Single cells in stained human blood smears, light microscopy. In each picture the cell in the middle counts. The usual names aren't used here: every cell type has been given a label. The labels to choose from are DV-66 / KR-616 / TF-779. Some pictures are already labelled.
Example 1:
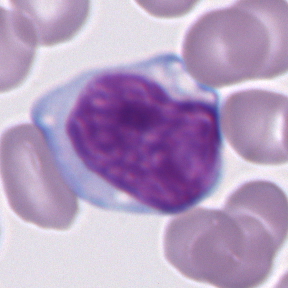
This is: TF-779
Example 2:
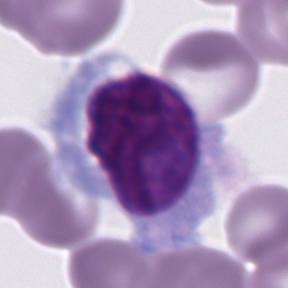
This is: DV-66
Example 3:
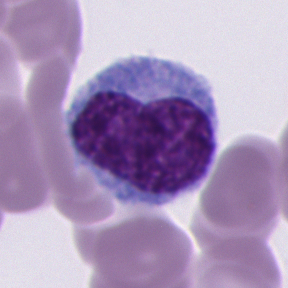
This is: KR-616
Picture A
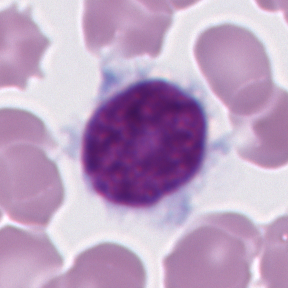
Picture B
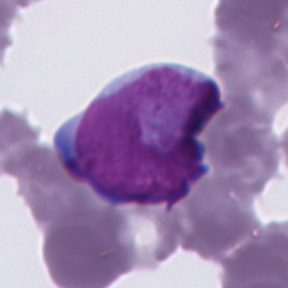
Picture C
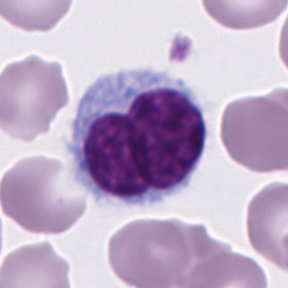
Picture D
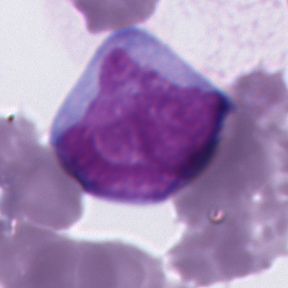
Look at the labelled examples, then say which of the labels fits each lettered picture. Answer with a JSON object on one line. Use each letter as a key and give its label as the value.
{"A": "DV-66", "B": "TF-779", "C": "DV-66", "D": "TF-779"}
